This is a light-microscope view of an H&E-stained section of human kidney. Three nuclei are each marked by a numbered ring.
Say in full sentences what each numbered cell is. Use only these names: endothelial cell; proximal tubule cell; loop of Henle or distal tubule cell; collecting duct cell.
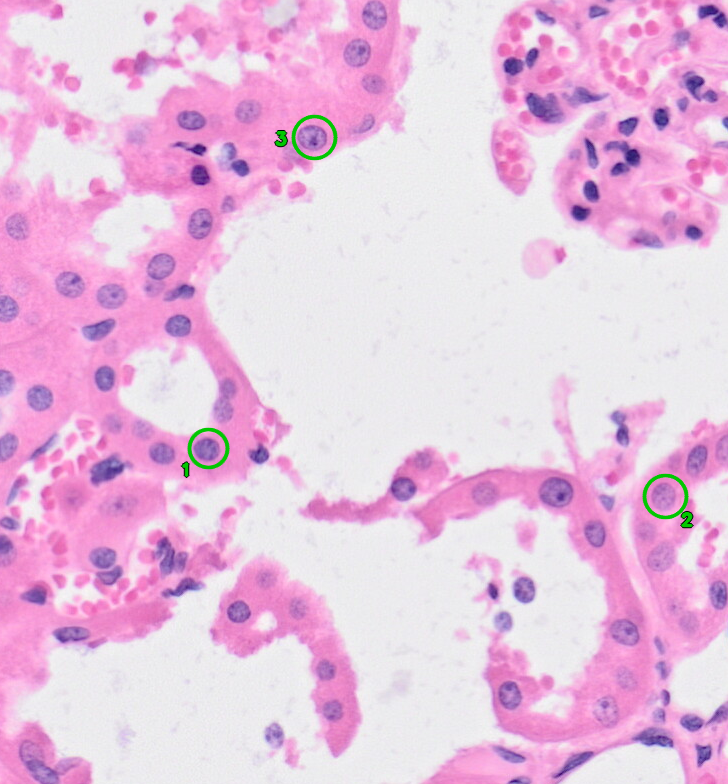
Cell 1 is a loop of Henle or distal tubule cell, cell 2 is a proximal tubule cell and cell 3 is a proximal tubule cell.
